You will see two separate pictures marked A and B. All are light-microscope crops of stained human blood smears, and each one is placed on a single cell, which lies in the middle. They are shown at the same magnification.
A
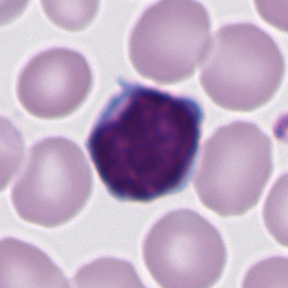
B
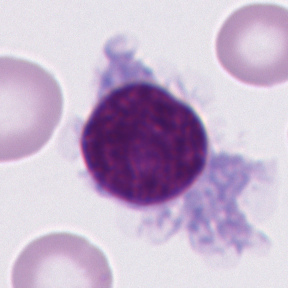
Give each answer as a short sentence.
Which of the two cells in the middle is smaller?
Crop A holds the smaller cell, since the cell in crop B covers about 2 times as much area.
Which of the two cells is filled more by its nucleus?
The nucleus fills more of the cell in crop A than in crop B.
